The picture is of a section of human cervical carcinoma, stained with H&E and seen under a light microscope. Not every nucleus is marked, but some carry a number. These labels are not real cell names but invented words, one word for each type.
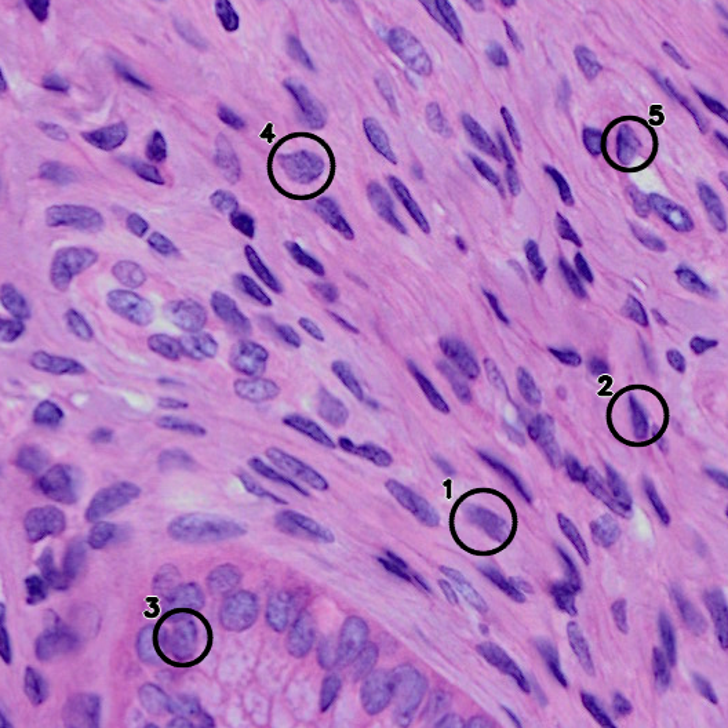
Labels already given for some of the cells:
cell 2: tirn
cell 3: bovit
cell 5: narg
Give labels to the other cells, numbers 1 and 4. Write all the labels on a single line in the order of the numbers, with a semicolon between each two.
tirn; tirn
